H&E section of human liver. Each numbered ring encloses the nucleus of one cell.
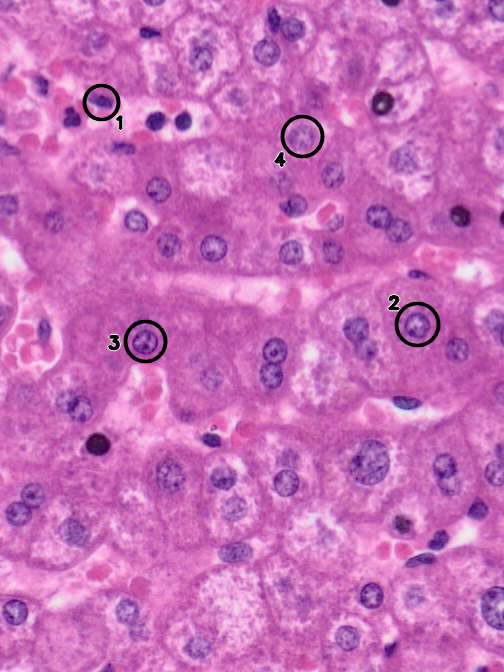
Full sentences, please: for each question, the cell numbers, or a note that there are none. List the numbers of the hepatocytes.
Within this tissue, the cells numbered 2, 3 and 4 are hepatocytes.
